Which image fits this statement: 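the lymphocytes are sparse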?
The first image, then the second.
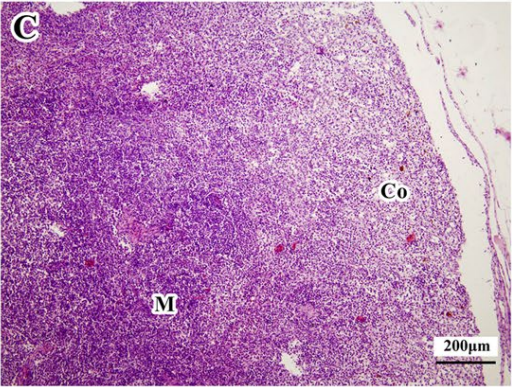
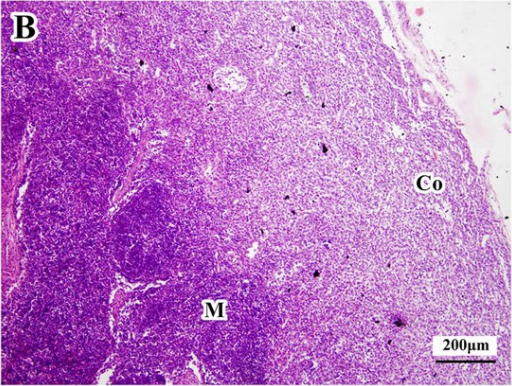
the first image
